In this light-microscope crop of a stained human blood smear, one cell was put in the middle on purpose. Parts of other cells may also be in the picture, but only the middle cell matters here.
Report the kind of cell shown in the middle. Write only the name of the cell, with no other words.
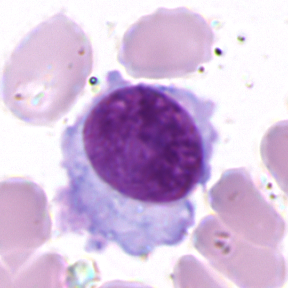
plasma cell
